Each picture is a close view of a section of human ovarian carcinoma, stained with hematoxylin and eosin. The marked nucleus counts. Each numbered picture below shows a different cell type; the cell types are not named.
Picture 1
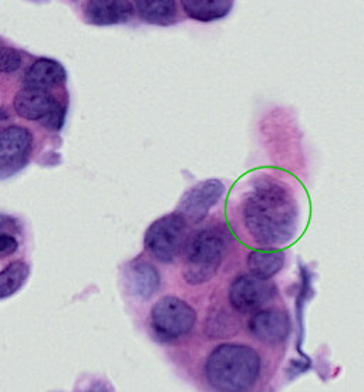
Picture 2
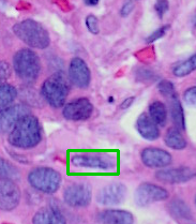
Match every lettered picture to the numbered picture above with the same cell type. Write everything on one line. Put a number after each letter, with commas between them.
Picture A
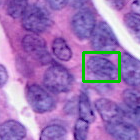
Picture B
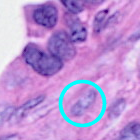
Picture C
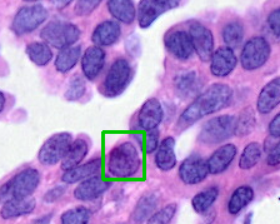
A 1, B 2, C 1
